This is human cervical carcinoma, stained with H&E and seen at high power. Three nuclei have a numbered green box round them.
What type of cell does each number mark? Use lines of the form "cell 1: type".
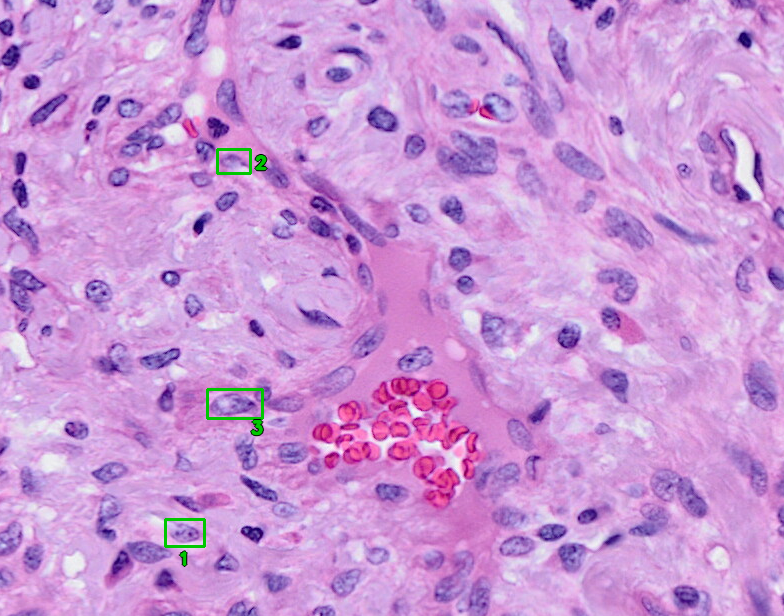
cell 1: macrophage or monocyte
cell 2: endothelial cell
cell 3: endothelial cell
